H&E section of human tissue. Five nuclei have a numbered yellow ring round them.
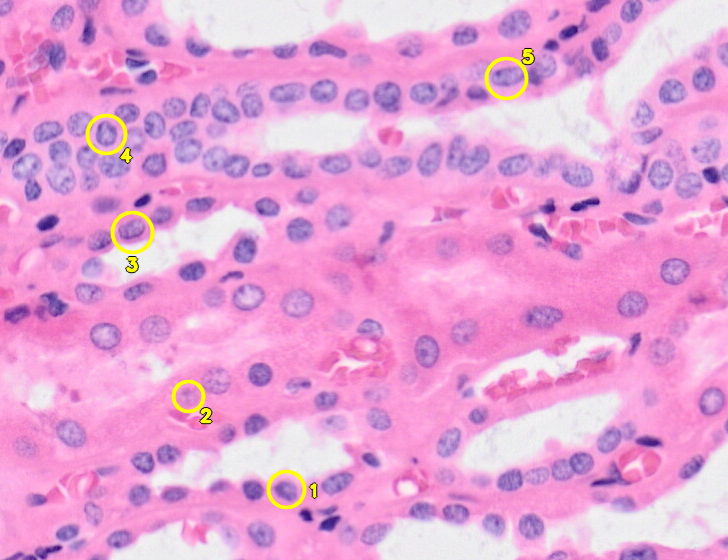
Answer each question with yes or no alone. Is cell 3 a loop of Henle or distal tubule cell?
yes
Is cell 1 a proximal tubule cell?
no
